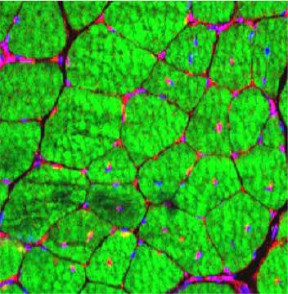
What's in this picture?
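This is a cross-section of skeletal muscle in which closely packed, polygonal myofibers are filled with green and separated by narrow dark borders. Red lines trace many of the borders between fibers, with small red dots at the fiber periphery.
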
